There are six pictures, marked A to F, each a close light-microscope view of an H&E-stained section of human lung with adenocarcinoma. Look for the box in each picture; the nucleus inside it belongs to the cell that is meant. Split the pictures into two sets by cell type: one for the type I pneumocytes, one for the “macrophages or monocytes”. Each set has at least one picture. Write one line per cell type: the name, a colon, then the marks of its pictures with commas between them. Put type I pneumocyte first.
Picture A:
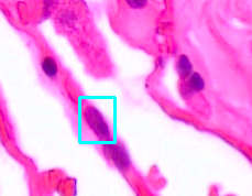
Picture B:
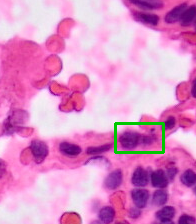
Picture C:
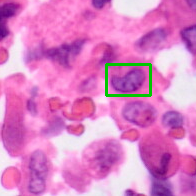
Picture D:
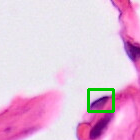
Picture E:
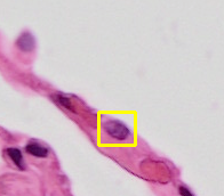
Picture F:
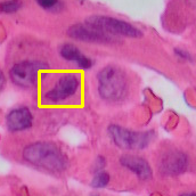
type I pneumocyte: A, B, D, E
macrophage or monocyte: C, F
